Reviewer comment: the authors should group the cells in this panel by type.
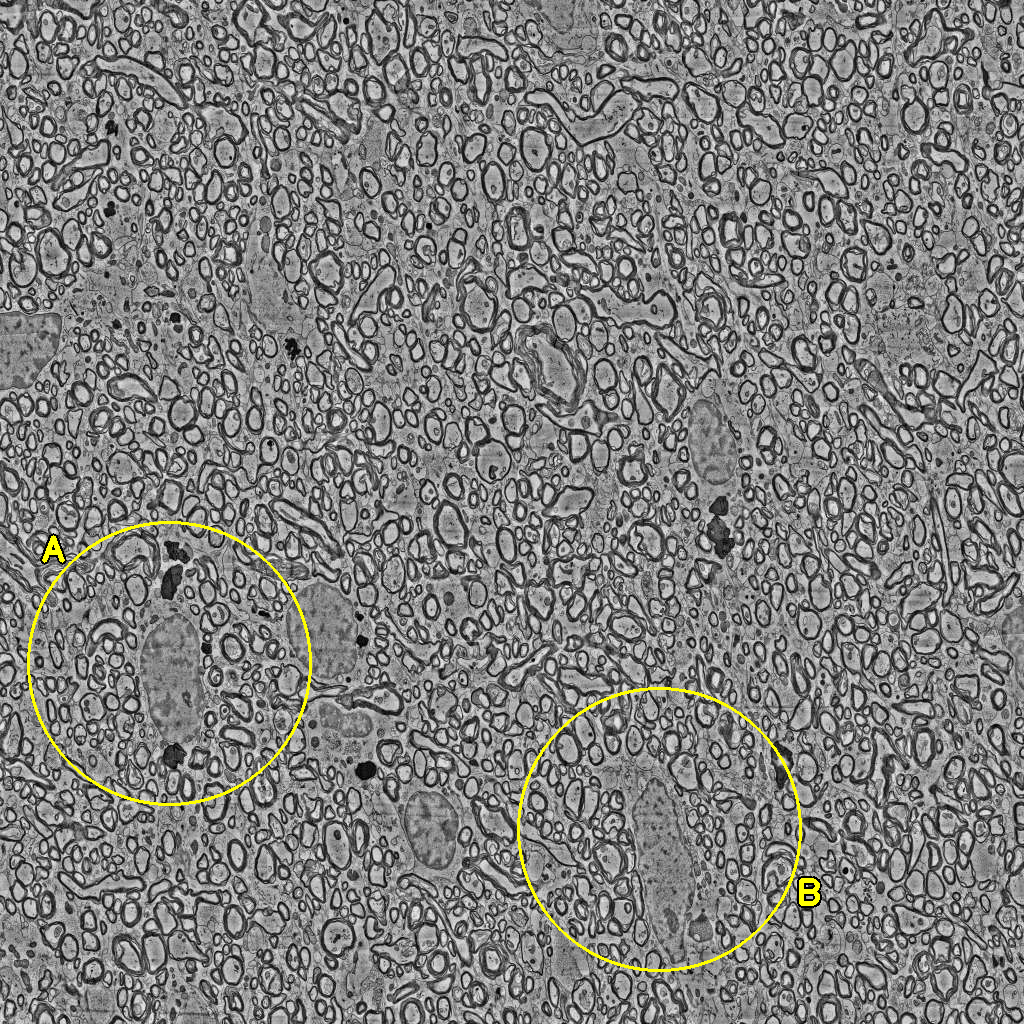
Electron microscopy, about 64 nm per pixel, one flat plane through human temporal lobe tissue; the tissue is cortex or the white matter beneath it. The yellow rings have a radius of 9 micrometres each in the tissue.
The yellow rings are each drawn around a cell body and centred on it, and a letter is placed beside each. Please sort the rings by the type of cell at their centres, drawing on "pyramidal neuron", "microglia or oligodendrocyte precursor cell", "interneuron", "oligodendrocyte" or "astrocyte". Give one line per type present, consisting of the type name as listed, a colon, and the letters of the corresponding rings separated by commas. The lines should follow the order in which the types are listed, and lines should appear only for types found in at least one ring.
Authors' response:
oligodendrocyte: A
astrocyte: B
